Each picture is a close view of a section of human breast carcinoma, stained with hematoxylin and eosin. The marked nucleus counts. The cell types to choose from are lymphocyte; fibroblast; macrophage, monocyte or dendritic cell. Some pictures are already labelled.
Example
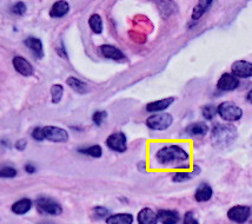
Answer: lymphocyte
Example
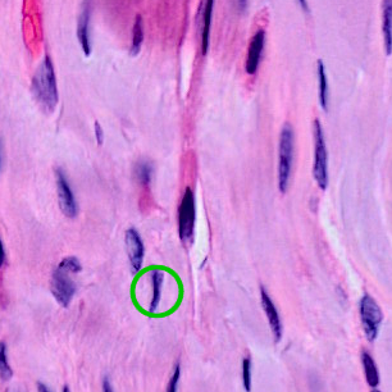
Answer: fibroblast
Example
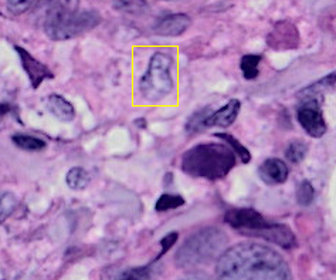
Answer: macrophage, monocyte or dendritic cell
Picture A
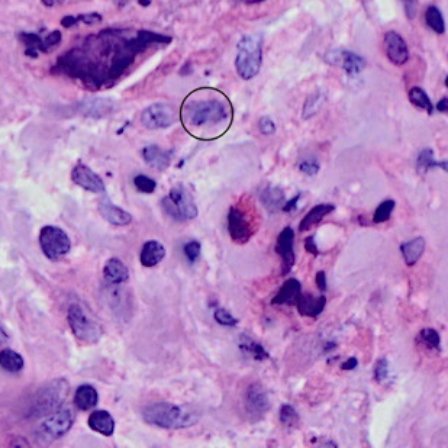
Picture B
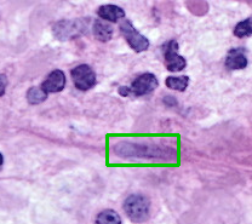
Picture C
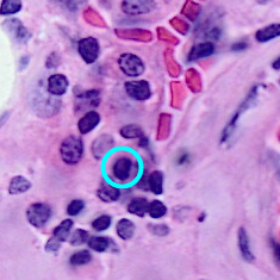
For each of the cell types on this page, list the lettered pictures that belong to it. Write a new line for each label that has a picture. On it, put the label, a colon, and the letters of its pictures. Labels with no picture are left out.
lymphocyte: C
fibroblast: B
macrophage, monocyte or dendritic cell: A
